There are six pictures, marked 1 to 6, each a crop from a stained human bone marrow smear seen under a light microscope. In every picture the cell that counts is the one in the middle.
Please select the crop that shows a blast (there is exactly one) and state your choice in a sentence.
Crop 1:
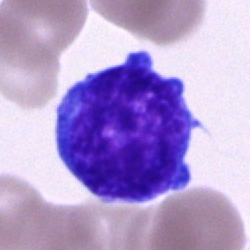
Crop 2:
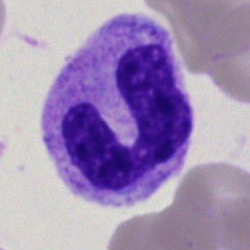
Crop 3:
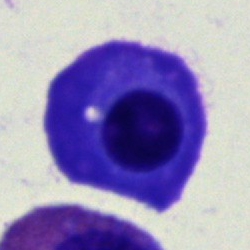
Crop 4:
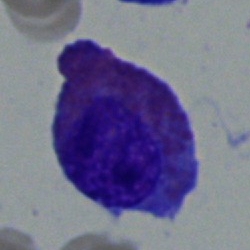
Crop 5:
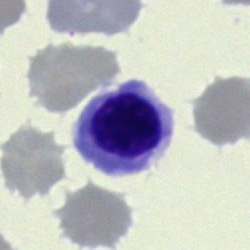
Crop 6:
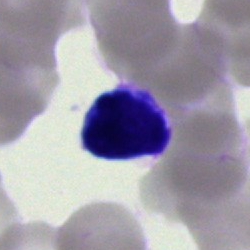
It is the cell in crop 1 that is a blast.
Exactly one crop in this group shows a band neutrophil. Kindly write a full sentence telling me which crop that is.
Crop 2 is where a band neutrophil is shown.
